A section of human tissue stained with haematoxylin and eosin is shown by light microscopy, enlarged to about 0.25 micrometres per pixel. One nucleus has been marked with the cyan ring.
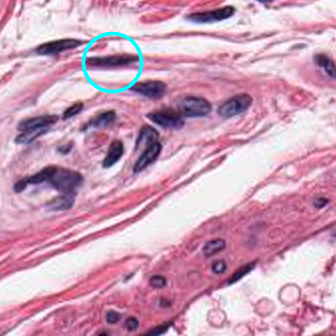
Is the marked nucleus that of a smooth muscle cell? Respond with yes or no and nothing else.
no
